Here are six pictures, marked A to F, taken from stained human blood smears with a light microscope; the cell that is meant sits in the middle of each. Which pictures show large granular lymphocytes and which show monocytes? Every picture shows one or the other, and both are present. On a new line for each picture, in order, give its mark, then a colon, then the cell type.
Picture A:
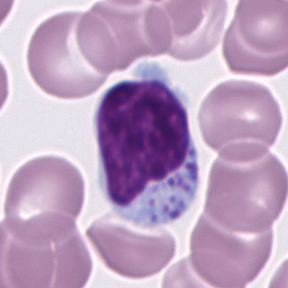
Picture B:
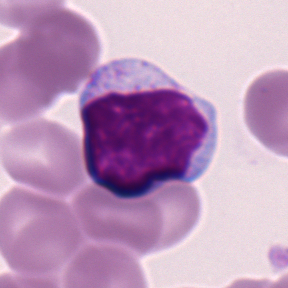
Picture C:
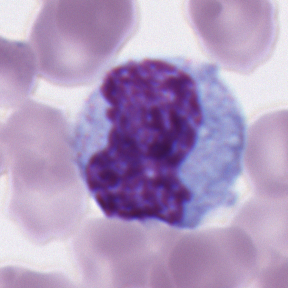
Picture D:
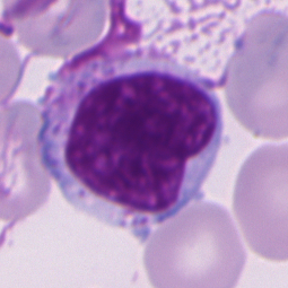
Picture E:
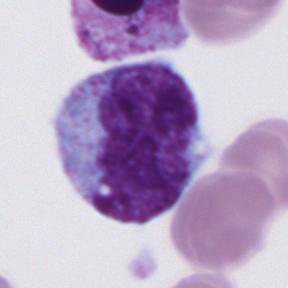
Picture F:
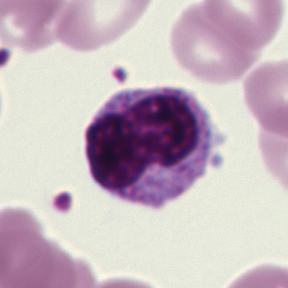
A: large granular lymphocyte
B: large granular lymphocyte
C: monocyte
D: large granular lymphocyte
E: monocyte
F: large granular lymphocyte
